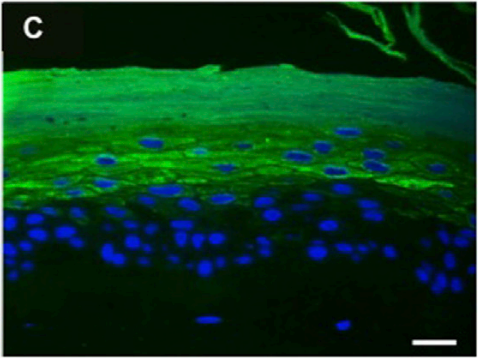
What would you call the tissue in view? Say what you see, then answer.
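Skin. A layered epithelium with several tiers of nuclei. The upper layers form a continuous bright green band with a compact surface layer on top. Nuclei in the upper layers are flattened, those below are rounder and more crowded.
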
